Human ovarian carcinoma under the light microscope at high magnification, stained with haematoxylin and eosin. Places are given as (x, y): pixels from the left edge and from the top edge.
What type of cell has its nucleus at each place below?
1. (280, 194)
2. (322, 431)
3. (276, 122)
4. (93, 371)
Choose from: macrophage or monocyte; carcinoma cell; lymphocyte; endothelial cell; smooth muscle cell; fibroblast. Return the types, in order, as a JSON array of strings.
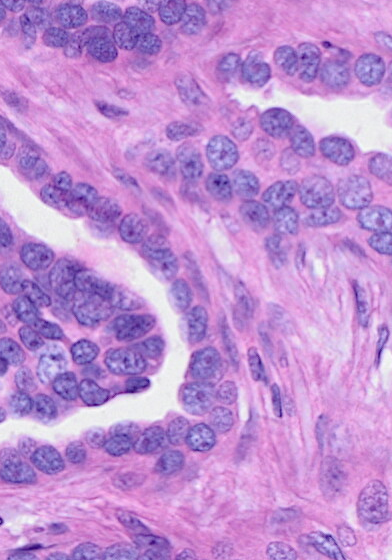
["carcinoma cell", "fibroblast", "carcinoma cell", "carcinoma cell"]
